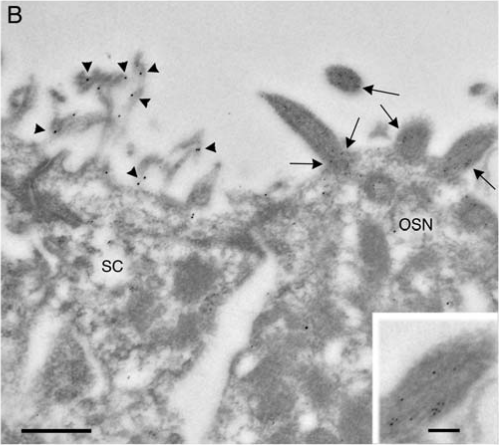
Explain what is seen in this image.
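This transmission electron micrograph shows the apical surface of the olfactory epithelium, with a sustentacular cell at left and an olfactory sensory neuron ending at right. At upper left, thin microvilli extend from the sustentacular cell into the lumen and carry small black gold particles. At right, the neuron surface gives rise to thicker, rod-shaped cilia with a dense, uniform interior, some seen in cross section above the surface. An inset shows one cilium at higher magnification with fine gold dots along its length. The underlying cytoplasm contains dense granular material and membrane-bound organelles.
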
